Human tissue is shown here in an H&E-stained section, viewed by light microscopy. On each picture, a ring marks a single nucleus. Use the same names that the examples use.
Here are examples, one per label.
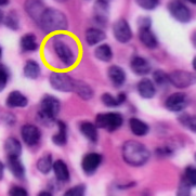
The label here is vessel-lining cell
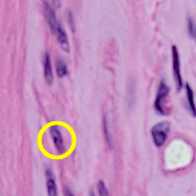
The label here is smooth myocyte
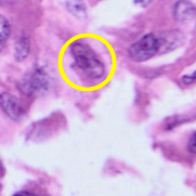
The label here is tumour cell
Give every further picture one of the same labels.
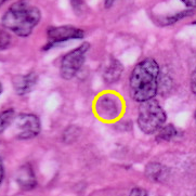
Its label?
tumour cell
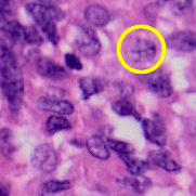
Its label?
tumour cell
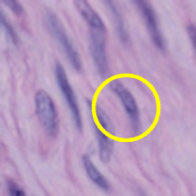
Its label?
smooth myocyte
